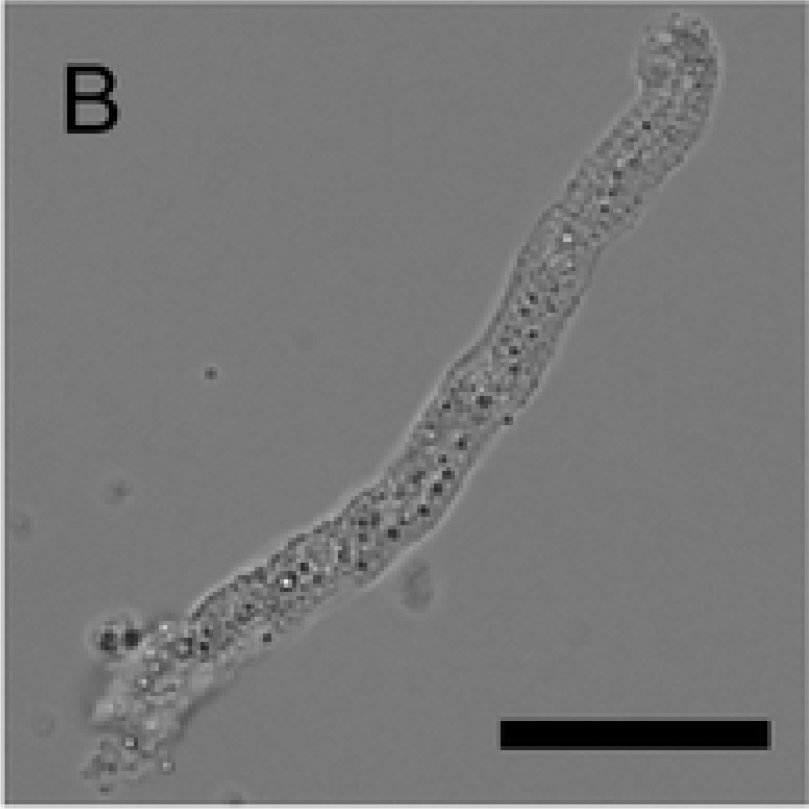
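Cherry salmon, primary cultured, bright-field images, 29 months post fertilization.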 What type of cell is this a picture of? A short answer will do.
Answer: Cardiomyocytes.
